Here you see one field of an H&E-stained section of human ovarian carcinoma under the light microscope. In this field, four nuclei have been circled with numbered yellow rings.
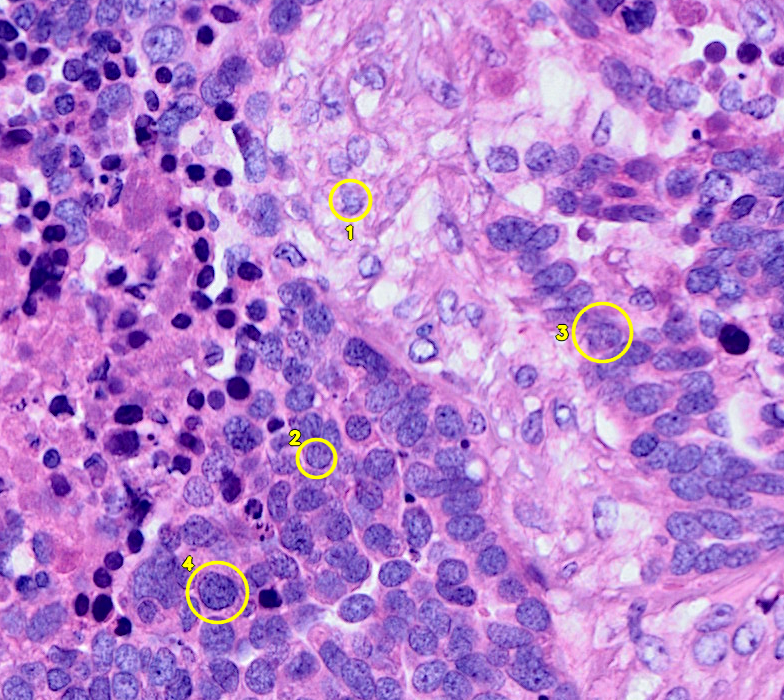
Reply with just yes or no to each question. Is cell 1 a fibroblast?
yes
